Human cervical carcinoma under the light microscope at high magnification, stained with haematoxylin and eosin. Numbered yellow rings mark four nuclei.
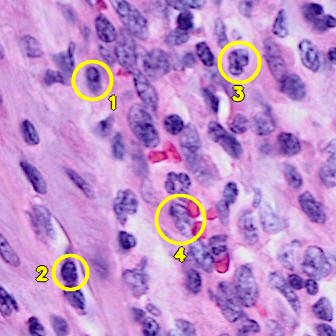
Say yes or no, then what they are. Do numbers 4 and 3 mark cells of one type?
No, cell 4 is an endothelial cell and cell 3, for its part, is a lymphocyte.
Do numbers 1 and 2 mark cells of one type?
Yes, sure, cells 1 and 2 are both lymphocytes.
